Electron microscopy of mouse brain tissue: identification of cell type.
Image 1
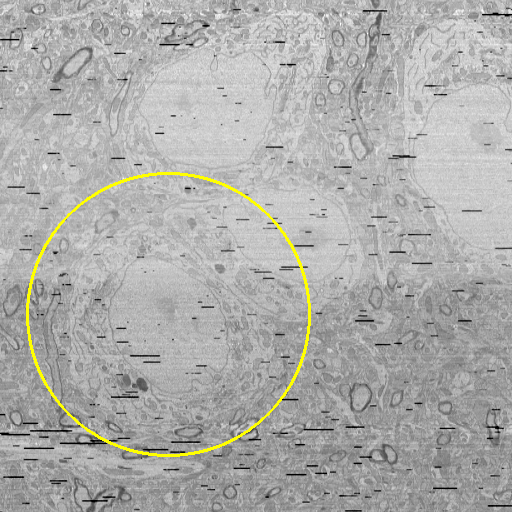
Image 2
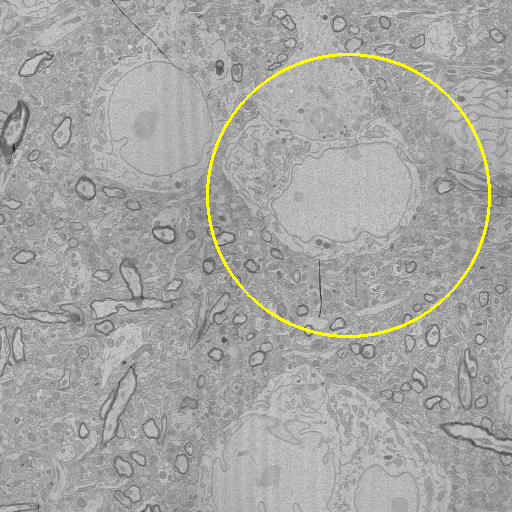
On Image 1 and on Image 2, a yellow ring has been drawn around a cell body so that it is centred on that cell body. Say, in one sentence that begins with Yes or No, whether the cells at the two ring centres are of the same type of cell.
Yes, both cells are the same type of cell.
